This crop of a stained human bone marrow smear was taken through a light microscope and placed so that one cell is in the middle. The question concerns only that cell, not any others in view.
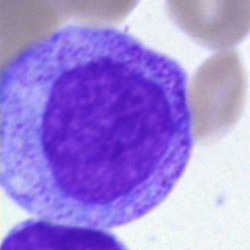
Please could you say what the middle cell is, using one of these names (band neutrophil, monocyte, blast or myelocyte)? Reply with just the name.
myelocyte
